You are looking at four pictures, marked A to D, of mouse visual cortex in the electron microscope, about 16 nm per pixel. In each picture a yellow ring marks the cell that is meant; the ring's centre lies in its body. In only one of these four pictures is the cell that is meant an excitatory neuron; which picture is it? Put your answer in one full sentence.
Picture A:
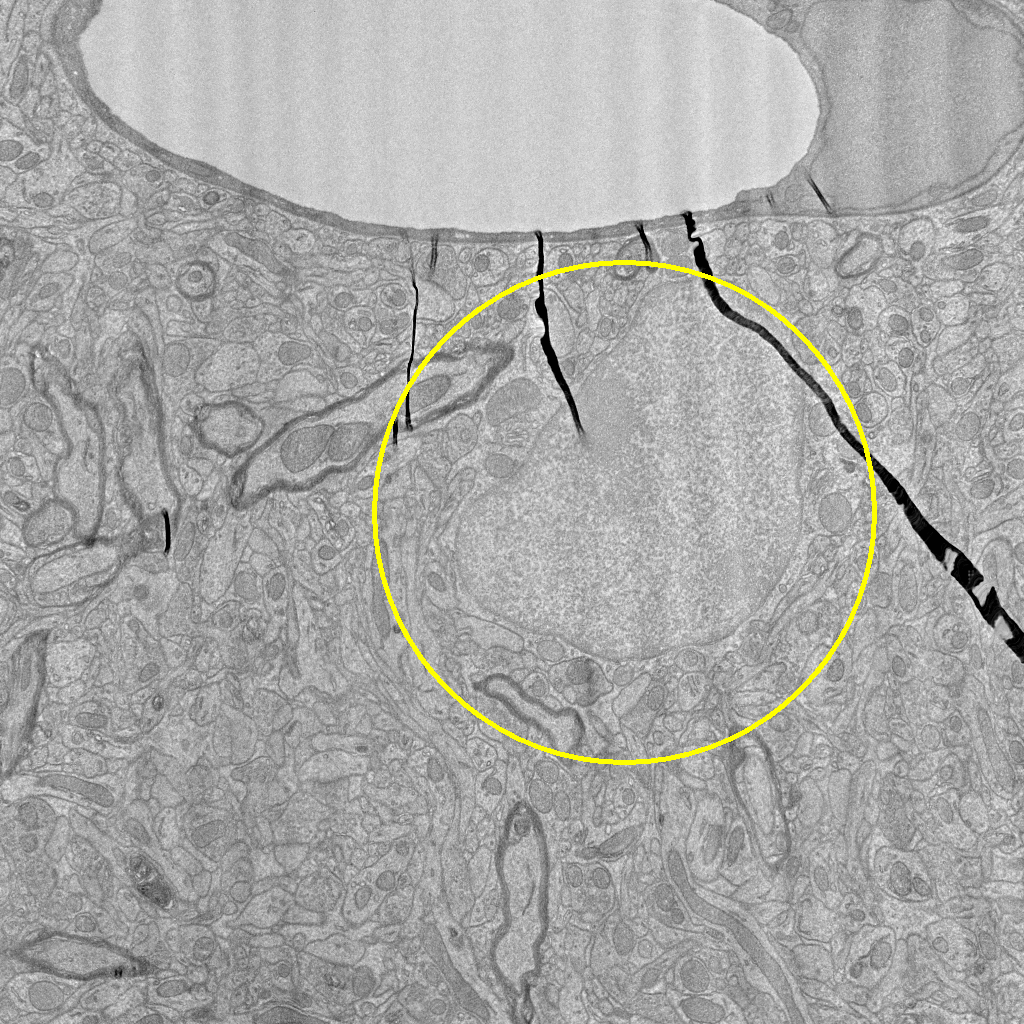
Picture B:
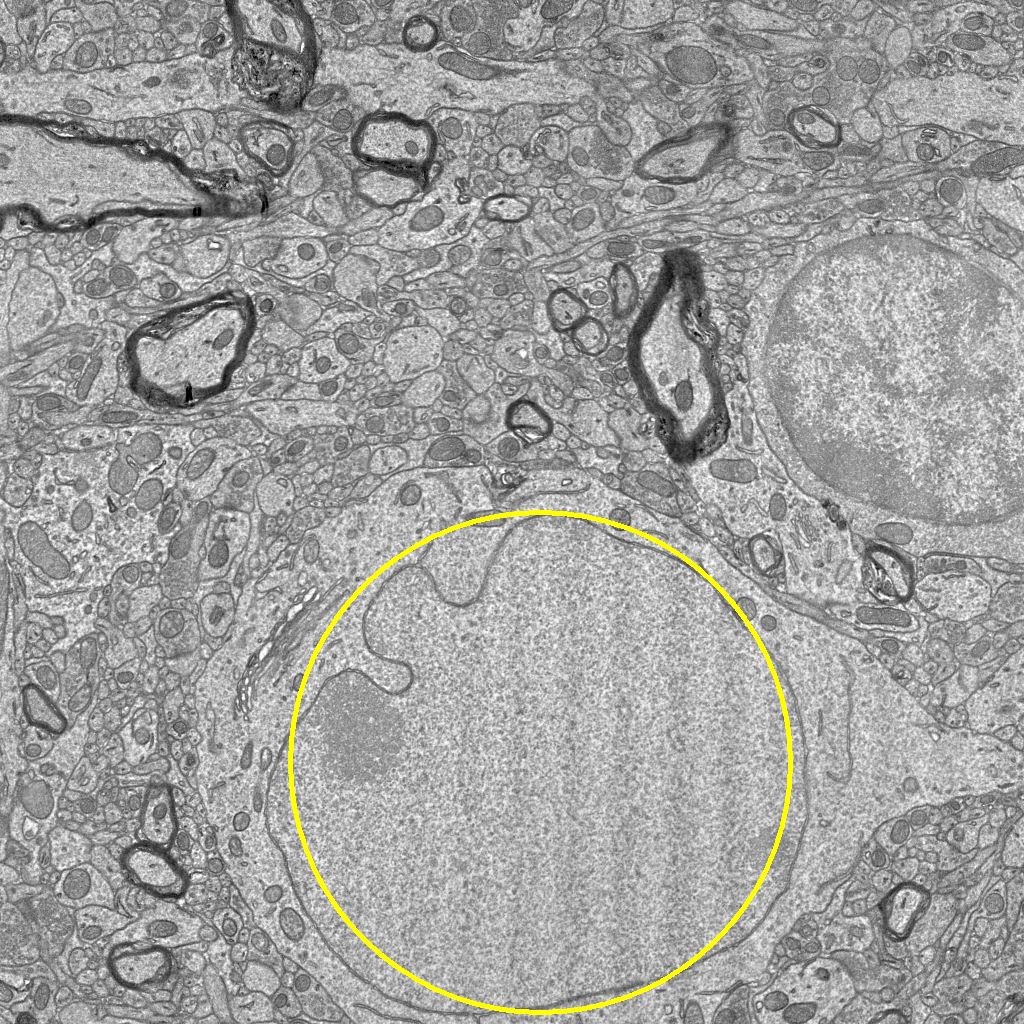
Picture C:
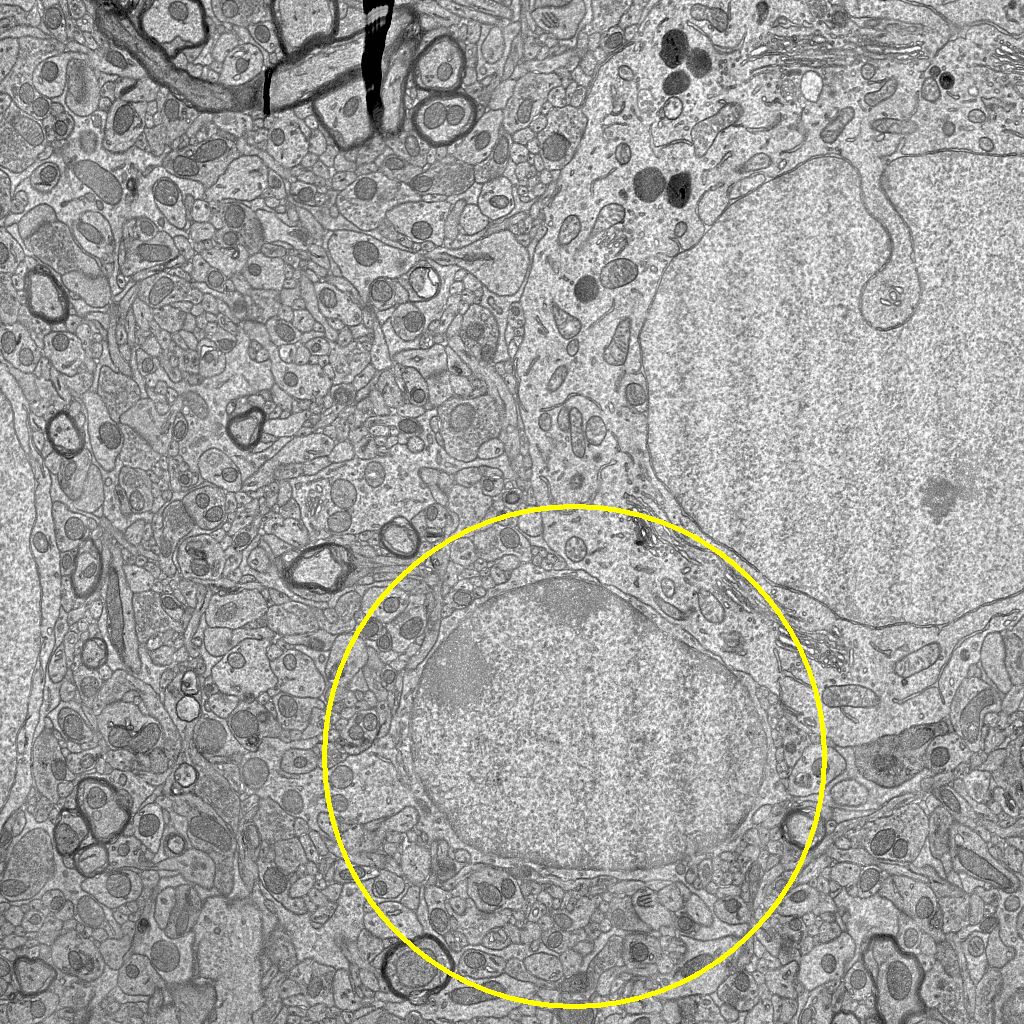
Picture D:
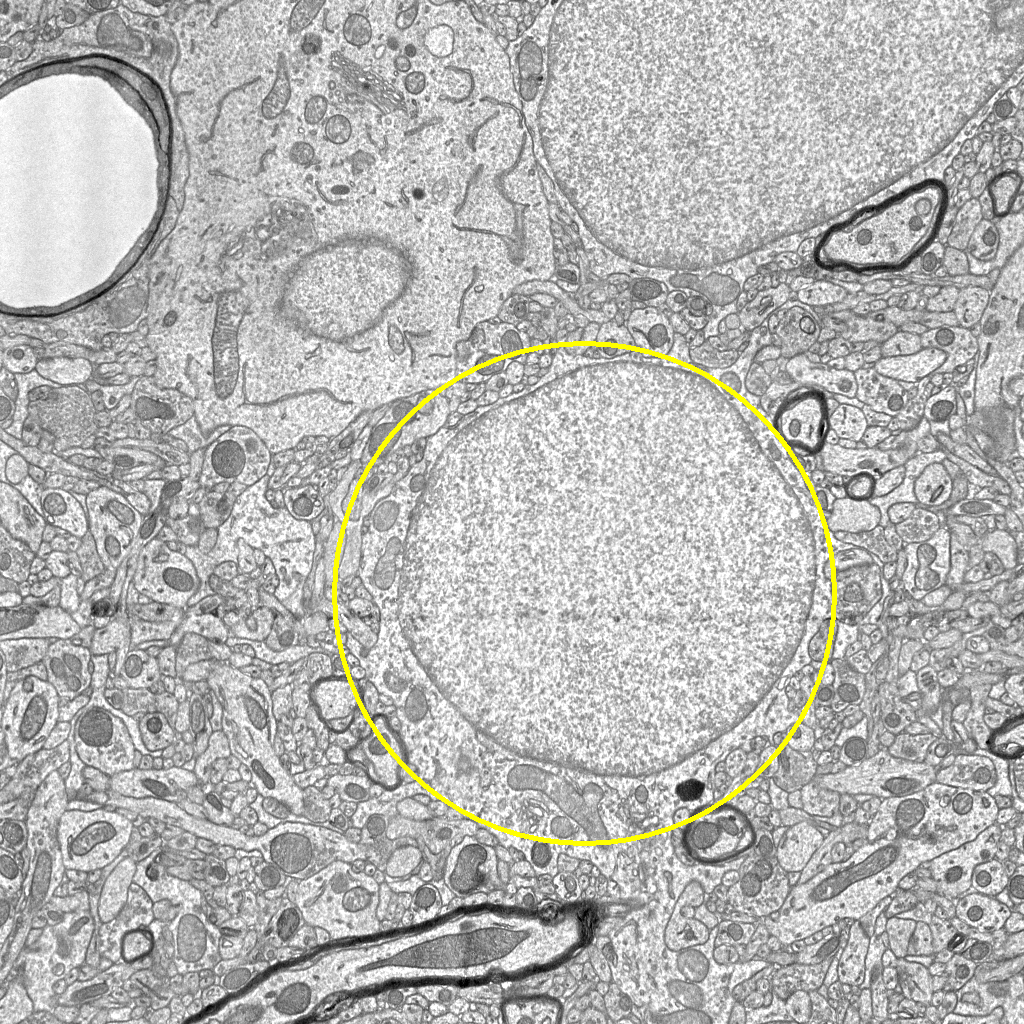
The picture with the excitatory neuron is B.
